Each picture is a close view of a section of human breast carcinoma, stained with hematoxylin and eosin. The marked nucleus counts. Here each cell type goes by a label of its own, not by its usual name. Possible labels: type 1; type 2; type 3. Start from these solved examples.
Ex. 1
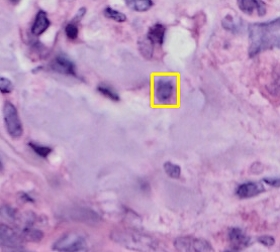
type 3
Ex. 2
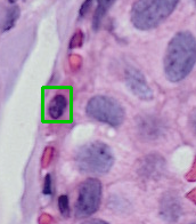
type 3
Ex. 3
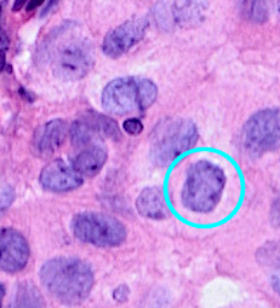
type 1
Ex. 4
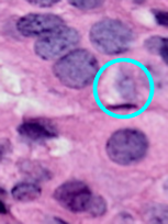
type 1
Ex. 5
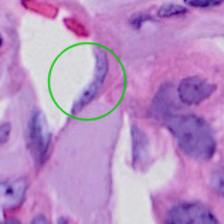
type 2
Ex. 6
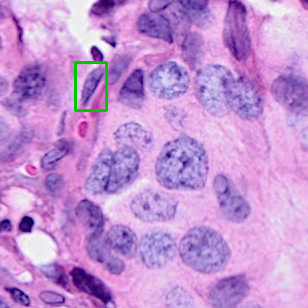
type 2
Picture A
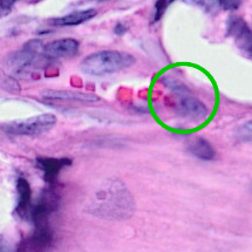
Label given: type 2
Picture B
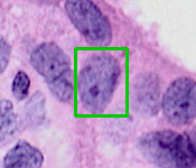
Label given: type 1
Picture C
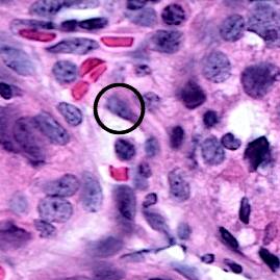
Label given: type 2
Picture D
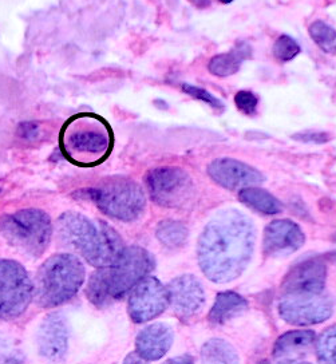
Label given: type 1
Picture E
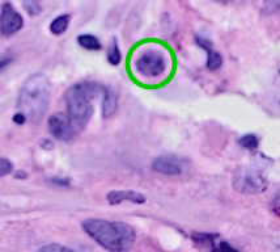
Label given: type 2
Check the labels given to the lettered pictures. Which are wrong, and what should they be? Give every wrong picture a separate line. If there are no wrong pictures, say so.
D: type 3, not type 1
E: type 3, not type 2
